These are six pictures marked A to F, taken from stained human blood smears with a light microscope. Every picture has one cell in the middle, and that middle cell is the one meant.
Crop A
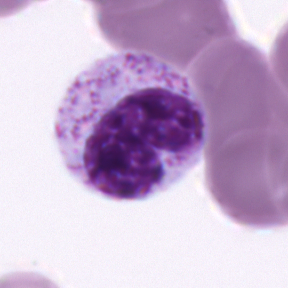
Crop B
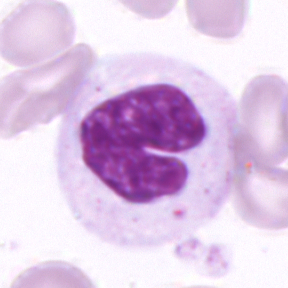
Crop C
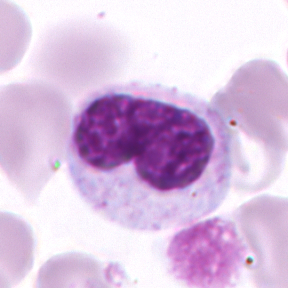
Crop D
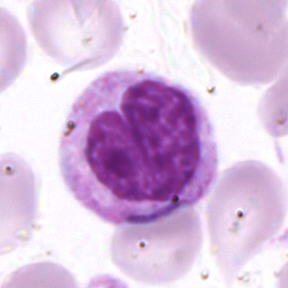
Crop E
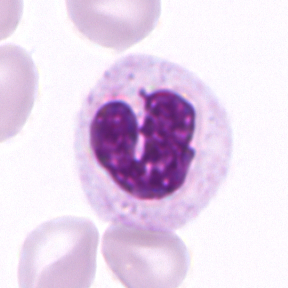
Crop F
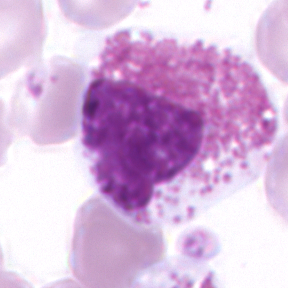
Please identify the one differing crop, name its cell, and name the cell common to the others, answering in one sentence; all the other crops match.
Identified in crop F is an eosinophil, whereas the other crops all show band neutrophils.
